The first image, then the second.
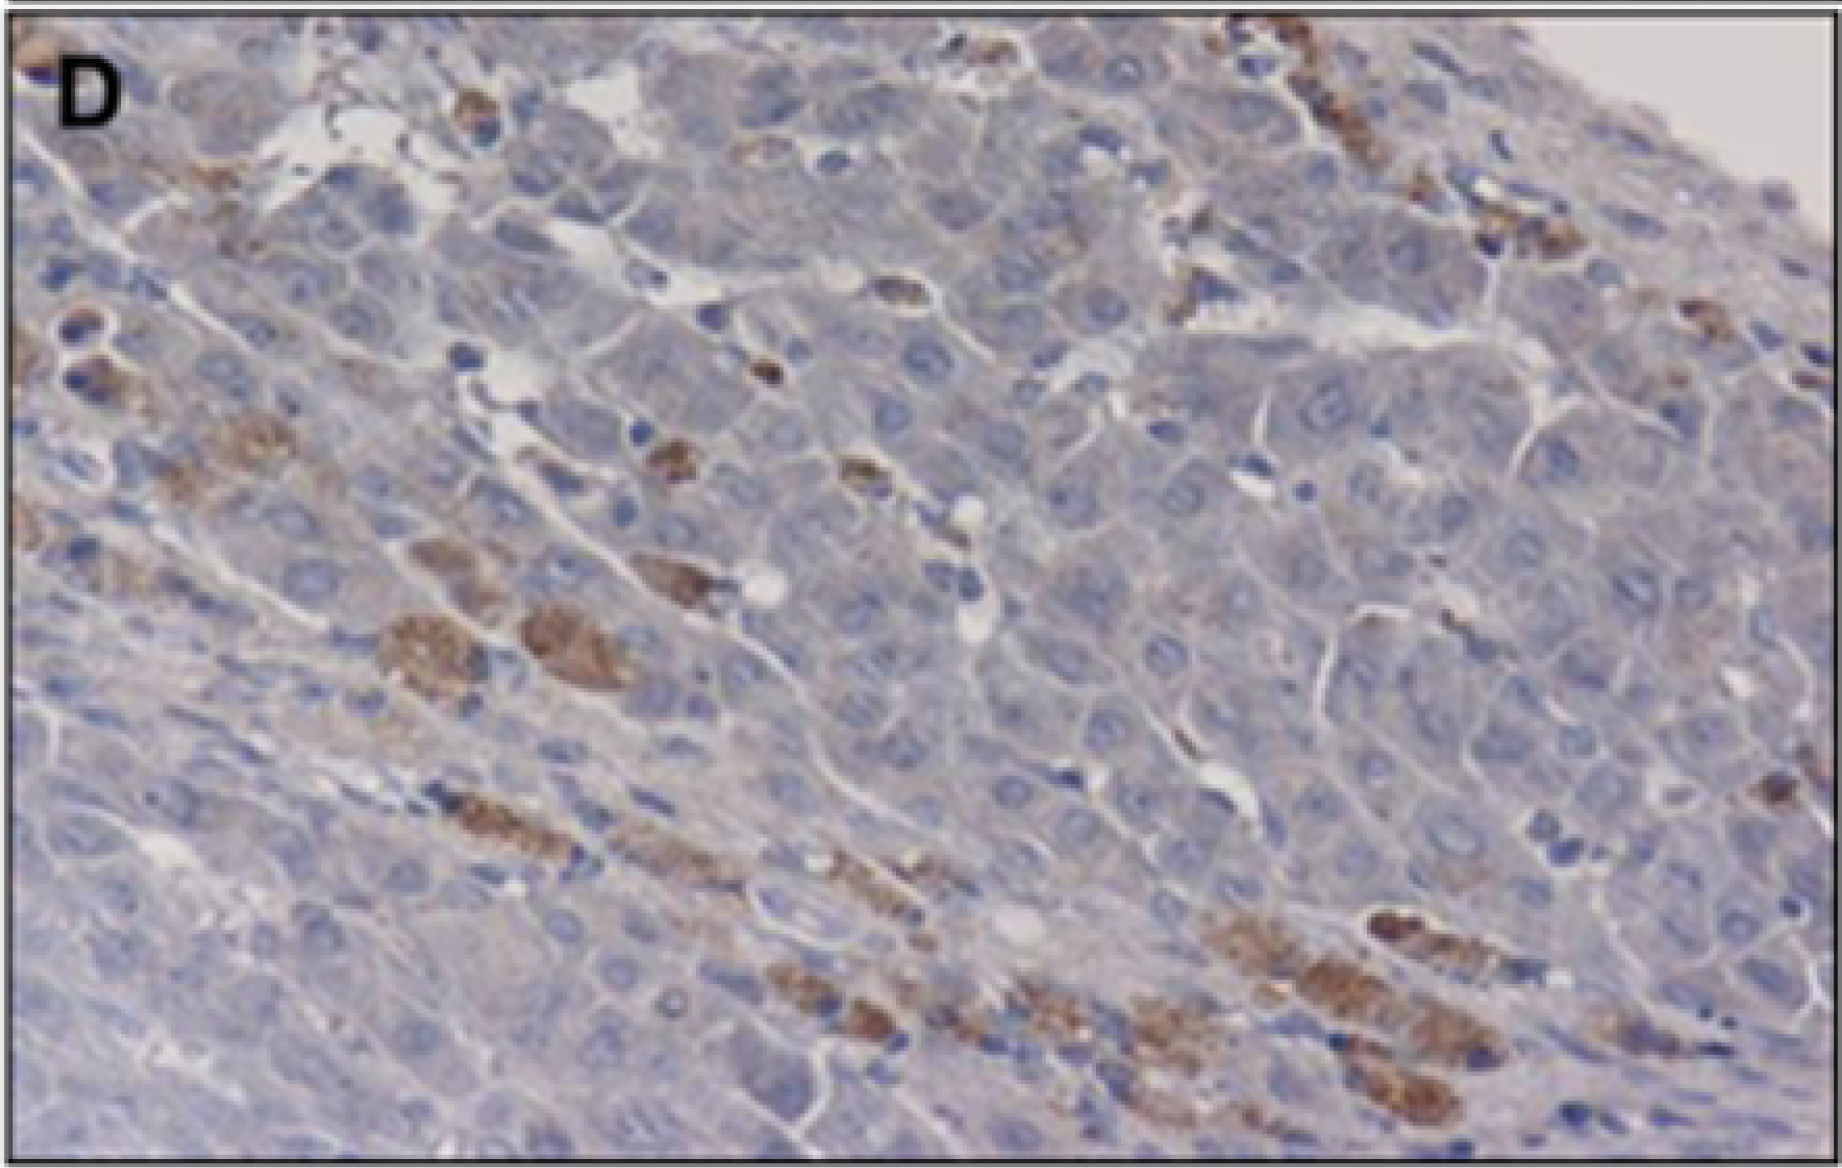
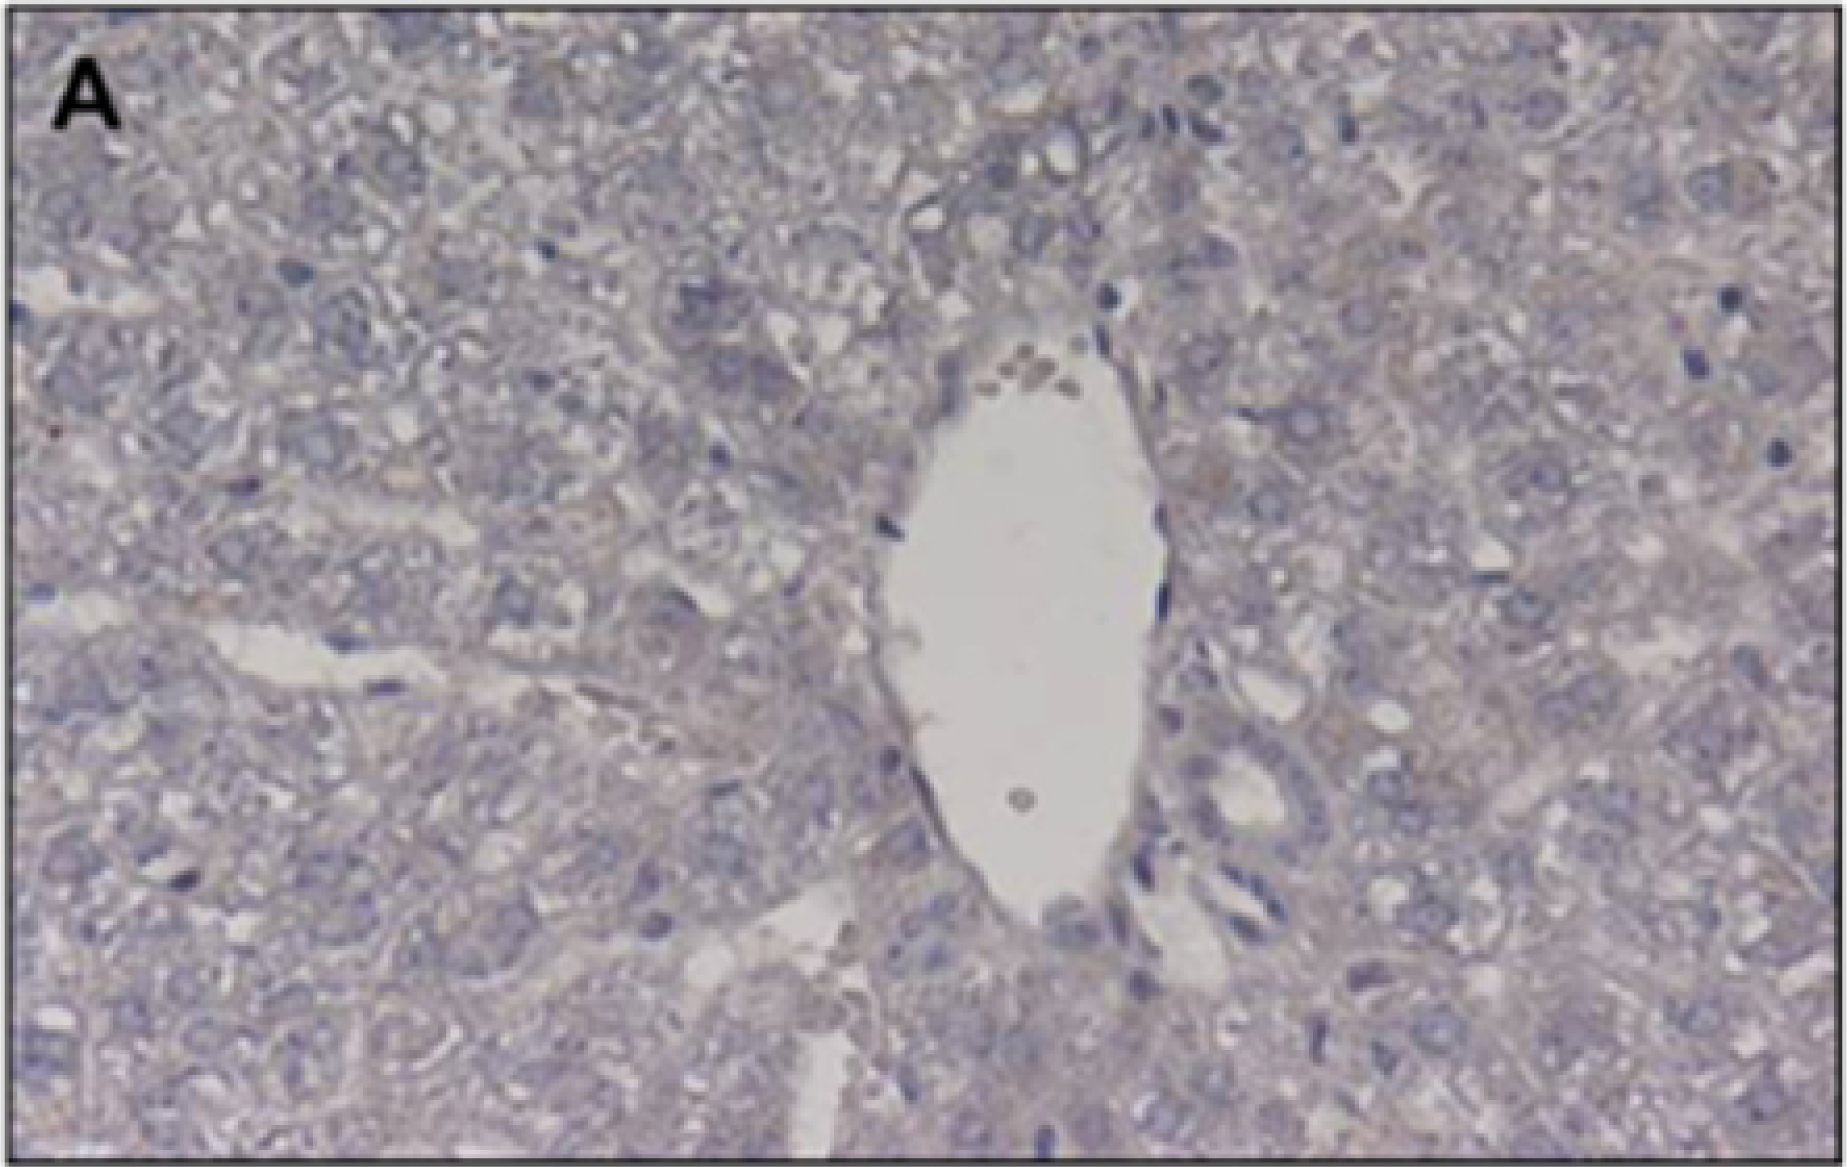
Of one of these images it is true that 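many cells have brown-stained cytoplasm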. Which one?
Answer: the first image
